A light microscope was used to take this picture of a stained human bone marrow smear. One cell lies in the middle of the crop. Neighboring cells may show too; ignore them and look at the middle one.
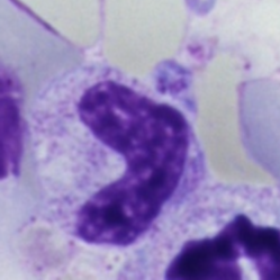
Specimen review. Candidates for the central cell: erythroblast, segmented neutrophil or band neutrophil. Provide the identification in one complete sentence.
The cell nearest the centre of this crop is a band neutrophil.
